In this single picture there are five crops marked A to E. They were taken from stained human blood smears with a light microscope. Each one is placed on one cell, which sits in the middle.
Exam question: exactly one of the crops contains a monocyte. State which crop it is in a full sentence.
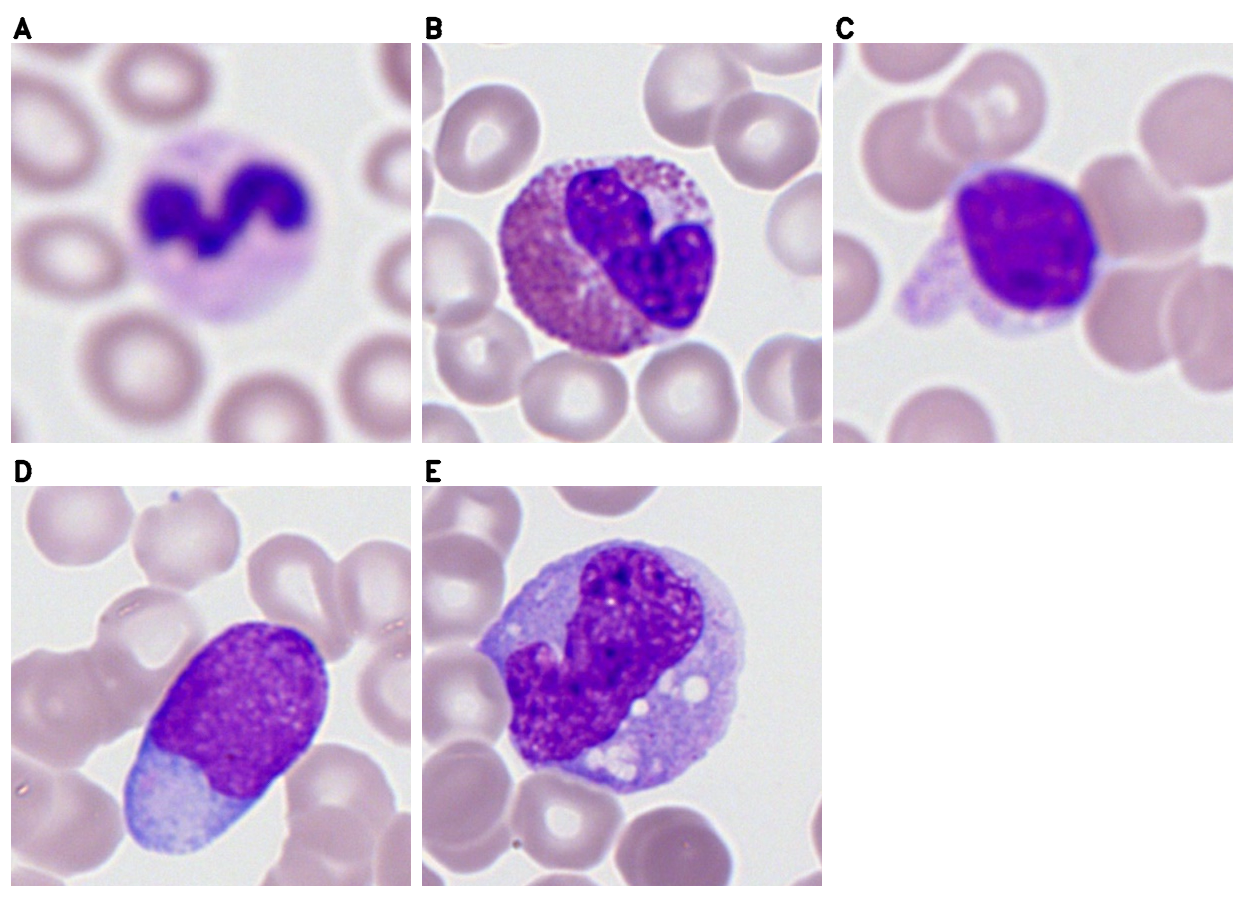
The crop with a monocyte at its center is crop E.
